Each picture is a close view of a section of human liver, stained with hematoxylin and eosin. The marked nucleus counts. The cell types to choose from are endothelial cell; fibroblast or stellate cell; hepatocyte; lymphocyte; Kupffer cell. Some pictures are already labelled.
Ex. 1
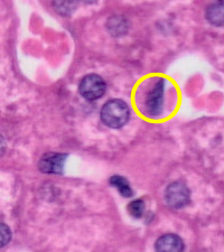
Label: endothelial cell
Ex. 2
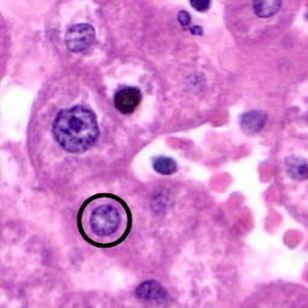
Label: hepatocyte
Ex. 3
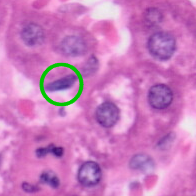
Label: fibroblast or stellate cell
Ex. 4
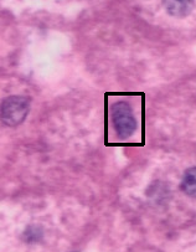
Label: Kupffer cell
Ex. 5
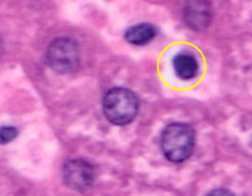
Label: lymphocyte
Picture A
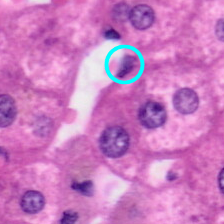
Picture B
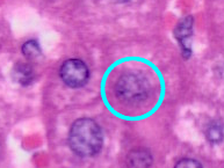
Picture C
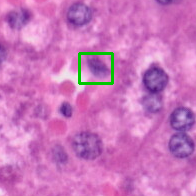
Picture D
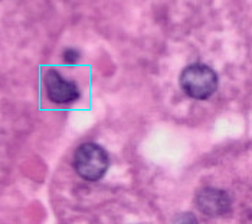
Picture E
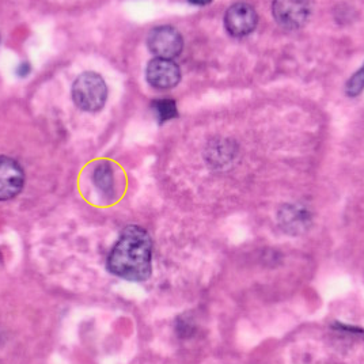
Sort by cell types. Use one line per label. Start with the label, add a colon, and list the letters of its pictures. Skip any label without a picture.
endothelial cell: A, C
hepatocyte: B
Kupffer cell: D, E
